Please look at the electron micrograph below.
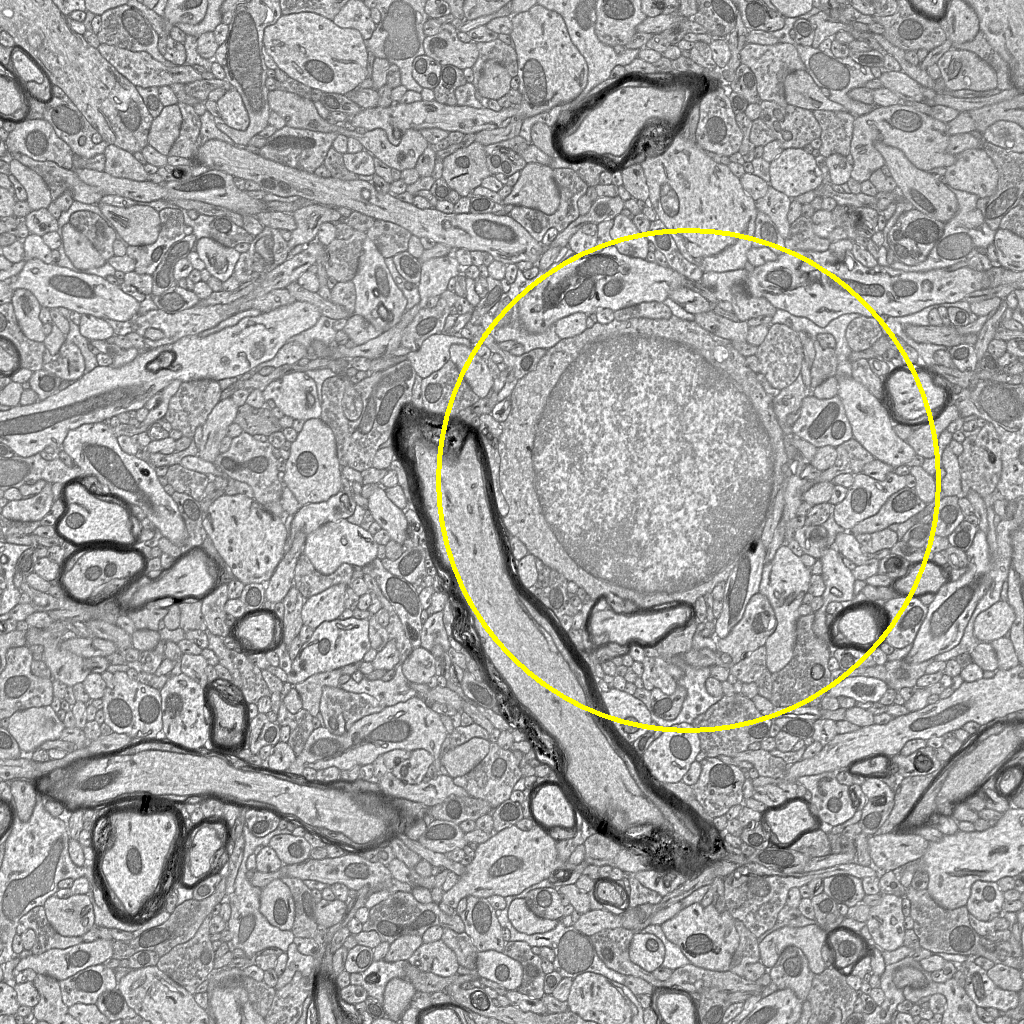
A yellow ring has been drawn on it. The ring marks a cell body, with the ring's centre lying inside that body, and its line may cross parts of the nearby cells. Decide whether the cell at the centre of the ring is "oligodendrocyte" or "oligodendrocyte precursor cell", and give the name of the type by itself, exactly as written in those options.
oligodendrocyte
